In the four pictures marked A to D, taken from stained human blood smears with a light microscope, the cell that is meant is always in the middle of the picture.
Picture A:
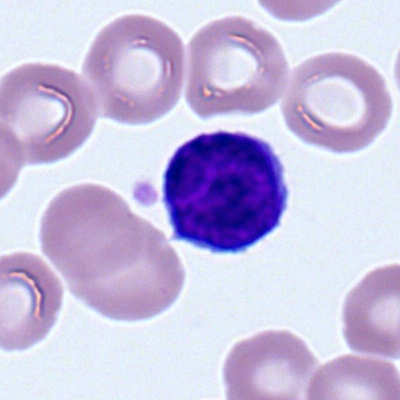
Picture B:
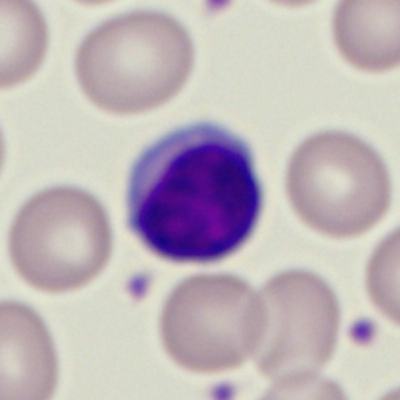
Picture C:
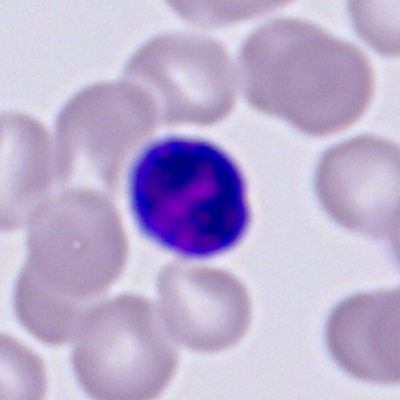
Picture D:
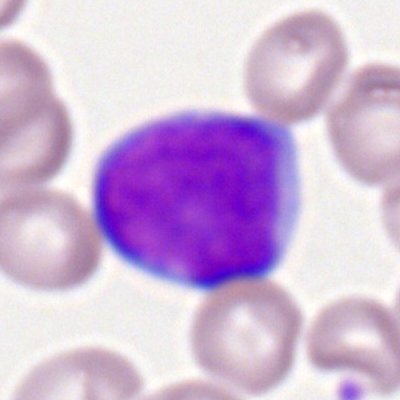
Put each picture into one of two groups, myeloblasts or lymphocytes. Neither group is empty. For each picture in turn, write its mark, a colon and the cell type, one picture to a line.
A: lymphocyte
B: lymphocyte
C: lymphocyte
D: myeloblast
